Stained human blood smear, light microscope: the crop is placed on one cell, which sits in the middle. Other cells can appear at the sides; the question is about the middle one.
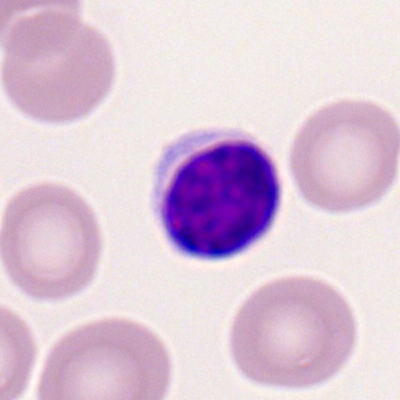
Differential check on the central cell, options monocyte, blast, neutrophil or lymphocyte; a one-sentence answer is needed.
The cell sitting right in the middle is a lymphocyte.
